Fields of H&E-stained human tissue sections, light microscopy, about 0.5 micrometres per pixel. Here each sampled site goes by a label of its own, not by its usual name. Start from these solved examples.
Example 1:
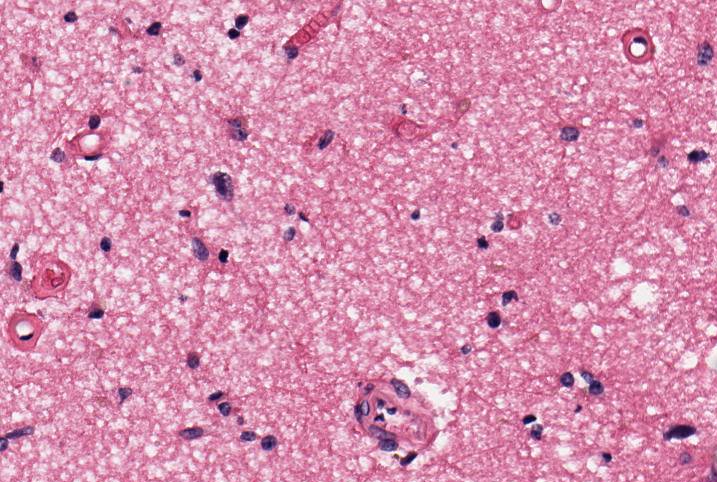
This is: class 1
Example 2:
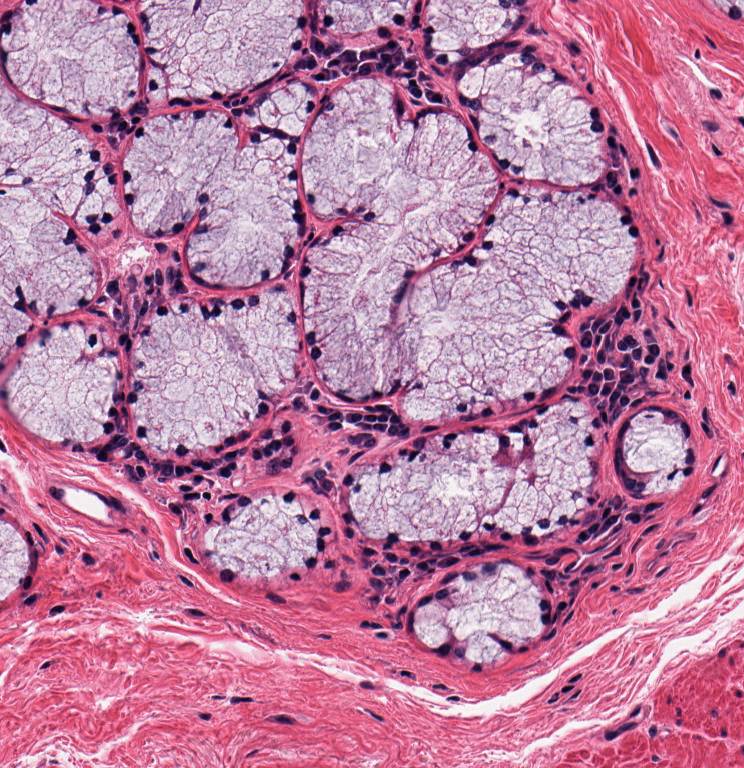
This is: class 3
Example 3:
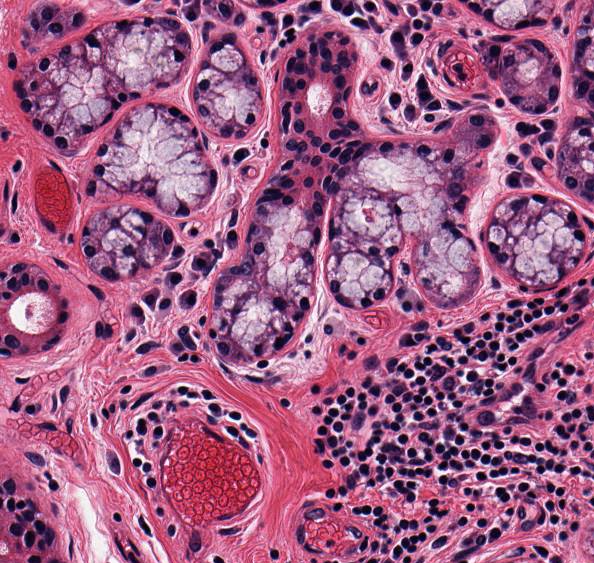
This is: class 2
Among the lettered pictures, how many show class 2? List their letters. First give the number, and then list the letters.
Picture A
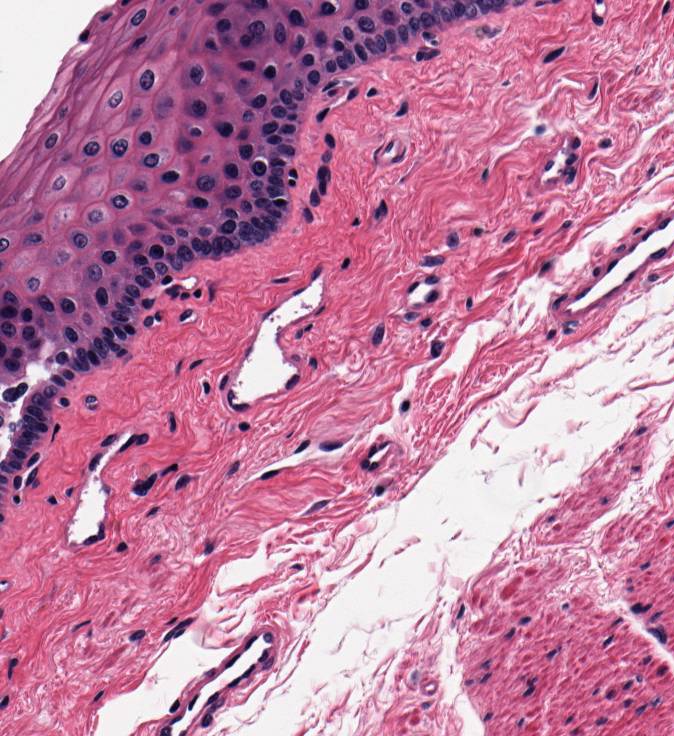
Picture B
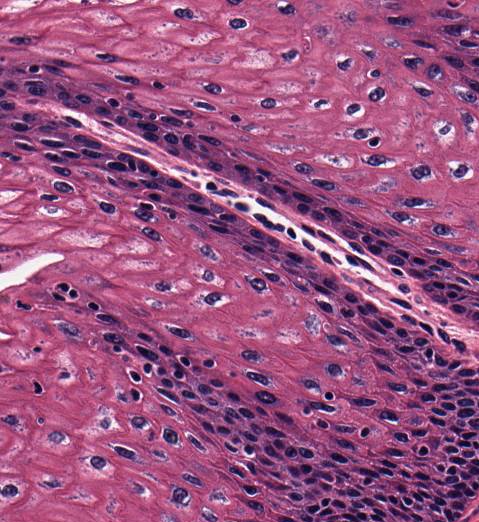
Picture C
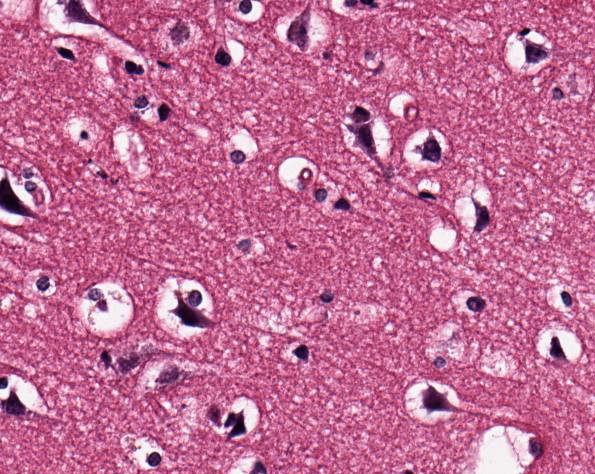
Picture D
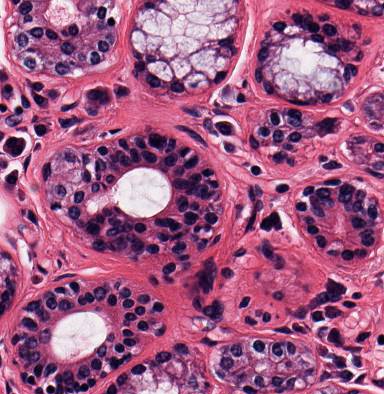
Count: 1 (D)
